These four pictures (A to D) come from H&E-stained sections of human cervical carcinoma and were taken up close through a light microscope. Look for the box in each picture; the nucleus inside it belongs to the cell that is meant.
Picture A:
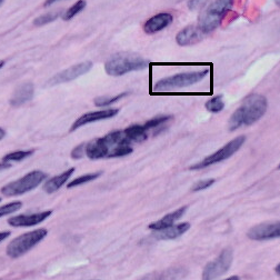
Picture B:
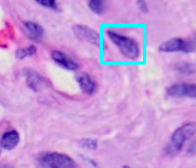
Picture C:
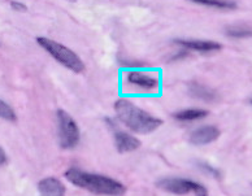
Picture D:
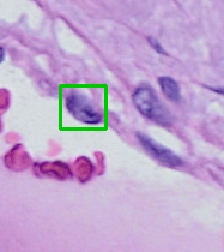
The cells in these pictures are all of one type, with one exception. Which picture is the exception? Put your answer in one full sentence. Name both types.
Picture D is the odd one out: it shows an endothelial cell, while the others show fibroblasts.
